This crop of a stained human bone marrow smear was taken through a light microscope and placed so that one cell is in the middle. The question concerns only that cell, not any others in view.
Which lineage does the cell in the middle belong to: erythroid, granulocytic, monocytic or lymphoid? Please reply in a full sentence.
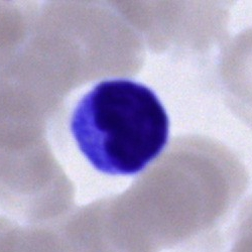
Under the lymphoid lineage falls the cell in the middle of the crop.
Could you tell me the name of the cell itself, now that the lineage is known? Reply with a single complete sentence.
The cell at the central position in this crop is a lymphocyte.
